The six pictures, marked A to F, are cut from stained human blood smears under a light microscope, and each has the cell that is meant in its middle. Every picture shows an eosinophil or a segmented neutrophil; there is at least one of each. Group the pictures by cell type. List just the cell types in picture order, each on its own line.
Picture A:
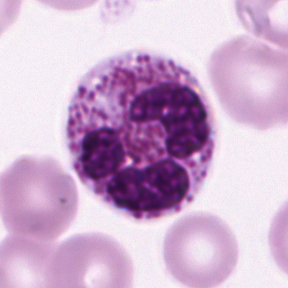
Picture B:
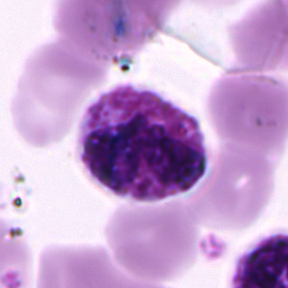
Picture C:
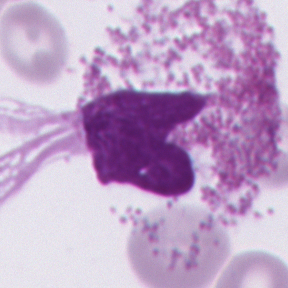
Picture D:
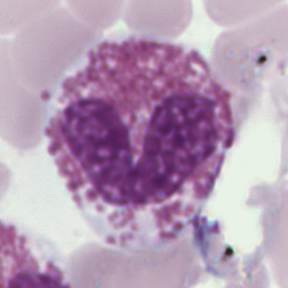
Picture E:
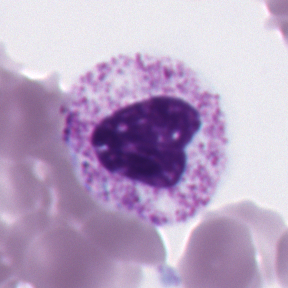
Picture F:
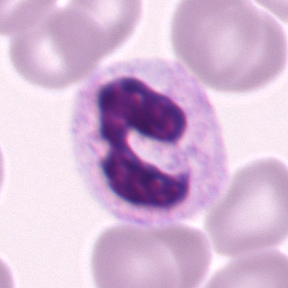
eosinophil
eosinophil
eosinophil
eosinophil
segmented neutrophil
segmented neutrophil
